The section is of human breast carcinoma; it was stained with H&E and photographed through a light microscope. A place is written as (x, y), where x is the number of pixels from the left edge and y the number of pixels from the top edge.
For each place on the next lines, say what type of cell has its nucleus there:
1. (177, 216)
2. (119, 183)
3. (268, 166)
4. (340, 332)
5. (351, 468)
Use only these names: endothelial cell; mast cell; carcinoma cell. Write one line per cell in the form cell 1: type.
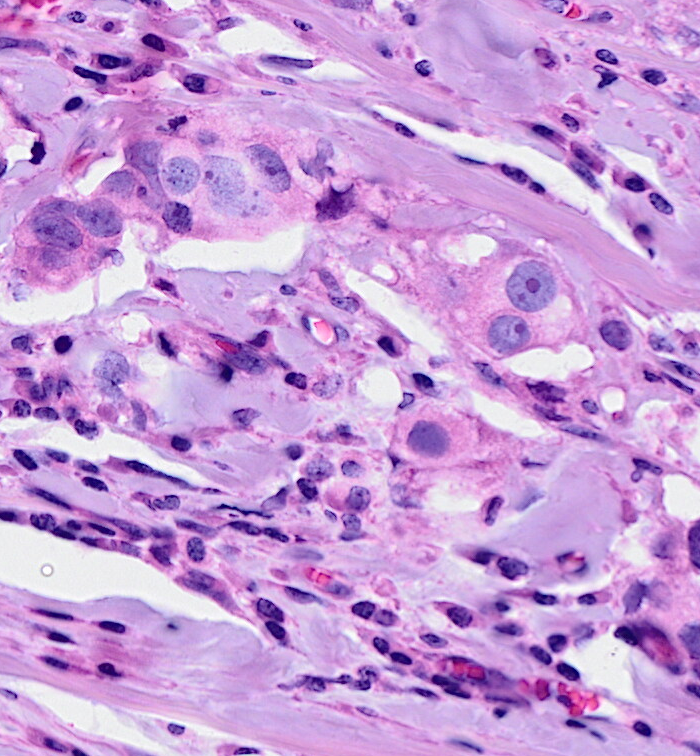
cell 1: carcinoma cell
cell 2: carcinoma cell
cell 3: carcinoma cell
cell 4: endothelial cell
cell 5: mast cell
